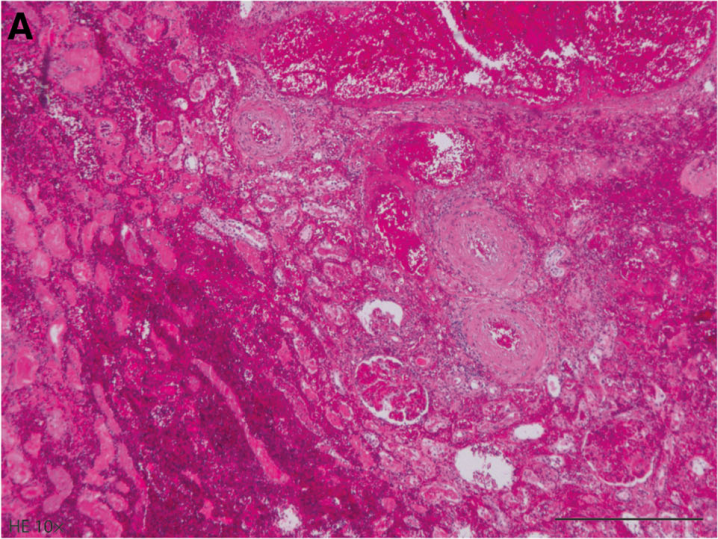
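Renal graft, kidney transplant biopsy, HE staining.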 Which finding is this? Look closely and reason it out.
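Large areas of the cortex are filled with densely packed red blood cells. Tubules are separated by sheets of extravasated blood. So: hemorrhage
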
